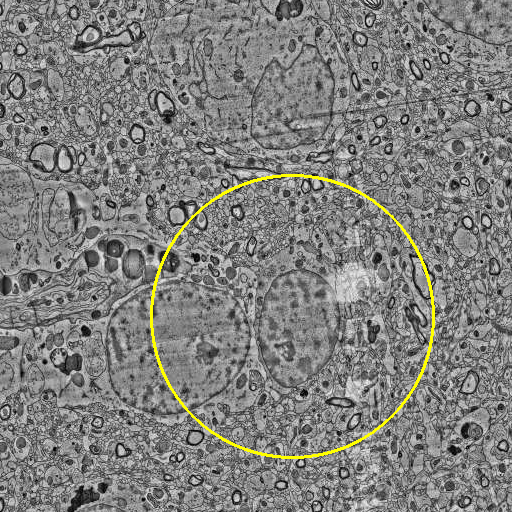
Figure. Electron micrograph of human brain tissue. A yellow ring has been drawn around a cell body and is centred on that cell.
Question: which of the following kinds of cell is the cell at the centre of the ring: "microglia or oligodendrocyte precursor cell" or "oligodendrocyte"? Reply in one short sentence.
The cell at the centre of the ring is an oligodendrocyte.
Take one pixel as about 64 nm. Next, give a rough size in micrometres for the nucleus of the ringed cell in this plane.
In this plane, about 8 micrometres in length and 6 in width.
